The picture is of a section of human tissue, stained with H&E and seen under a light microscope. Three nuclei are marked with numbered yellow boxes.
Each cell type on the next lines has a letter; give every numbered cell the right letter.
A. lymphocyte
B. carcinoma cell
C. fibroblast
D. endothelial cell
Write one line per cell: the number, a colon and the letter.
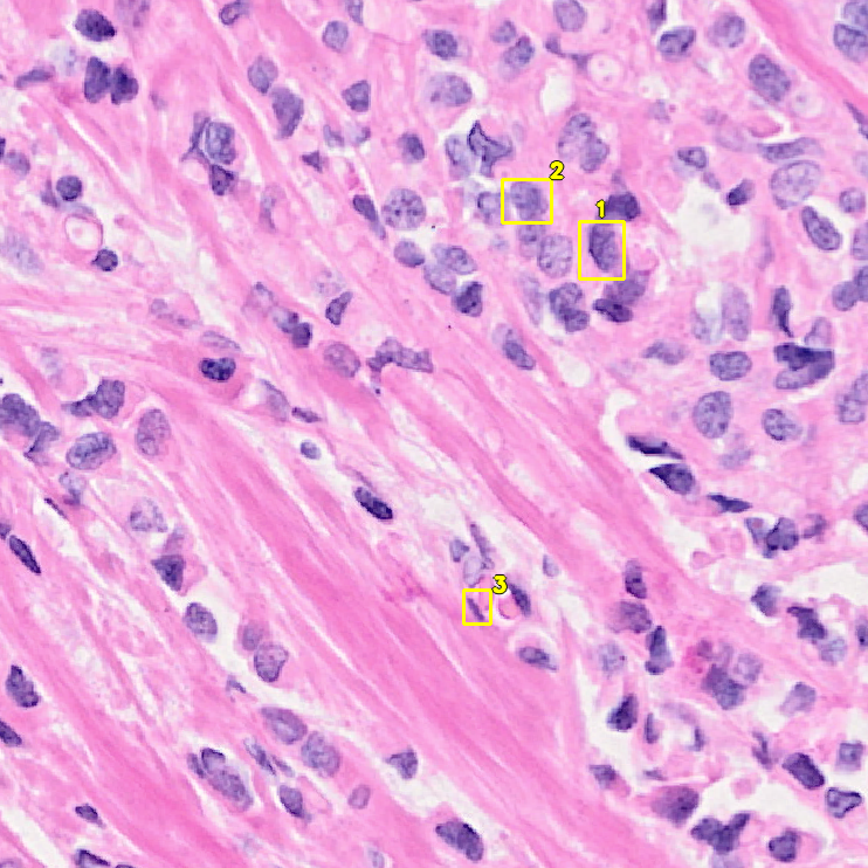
1: B
2: B
3: D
